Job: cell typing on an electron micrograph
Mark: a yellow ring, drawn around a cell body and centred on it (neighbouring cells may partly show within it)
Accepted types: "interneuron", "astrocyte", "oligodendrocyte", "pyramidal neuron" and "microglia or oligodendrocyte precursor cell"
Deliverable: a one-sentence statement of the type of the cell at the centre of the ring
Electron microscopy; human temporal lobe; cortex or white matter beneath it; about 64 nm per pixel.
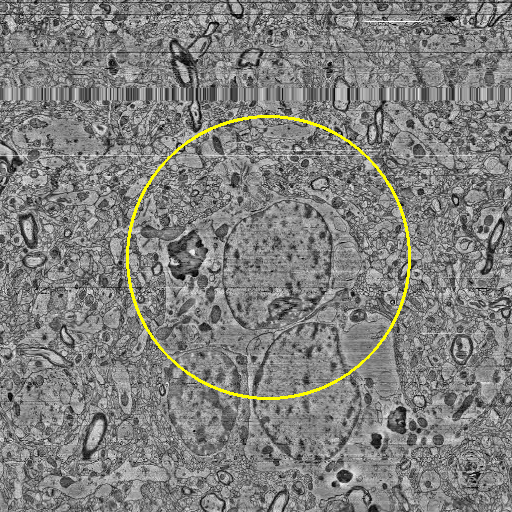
The centred cell body is that of an astrocyte.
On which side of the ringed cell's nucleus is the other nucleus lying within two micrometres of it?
That other nucleus lies below it.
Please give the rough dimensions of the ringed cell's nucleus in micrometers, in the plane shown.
The nucleus of the ringed cell is approximately 9 by 7 micrometres in this plane.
